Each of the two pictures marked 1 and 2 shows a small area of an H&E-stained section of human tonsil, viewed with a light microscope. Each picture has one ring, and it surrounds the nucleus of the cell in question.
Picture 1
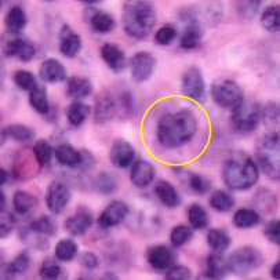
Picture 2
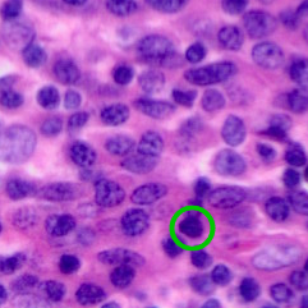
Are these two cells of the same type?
no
